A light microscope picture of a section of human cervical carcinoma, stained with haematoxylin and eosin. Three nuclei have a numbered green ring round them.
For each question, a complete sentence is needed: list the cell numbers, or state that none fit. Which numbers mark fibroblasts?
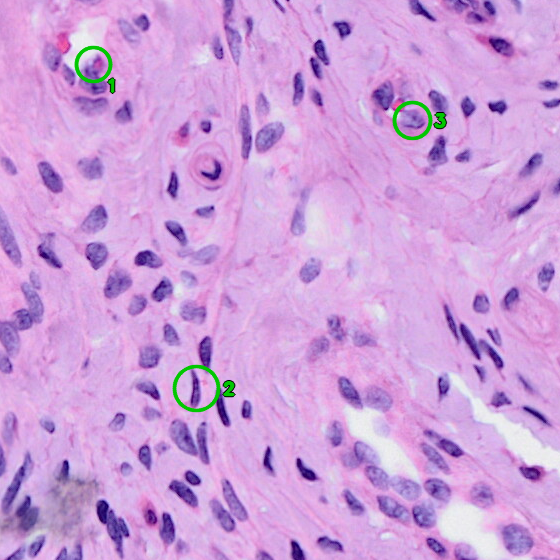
The cell bearing the number 2 is a fibroblast, unlike the rest of the numbered cells.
